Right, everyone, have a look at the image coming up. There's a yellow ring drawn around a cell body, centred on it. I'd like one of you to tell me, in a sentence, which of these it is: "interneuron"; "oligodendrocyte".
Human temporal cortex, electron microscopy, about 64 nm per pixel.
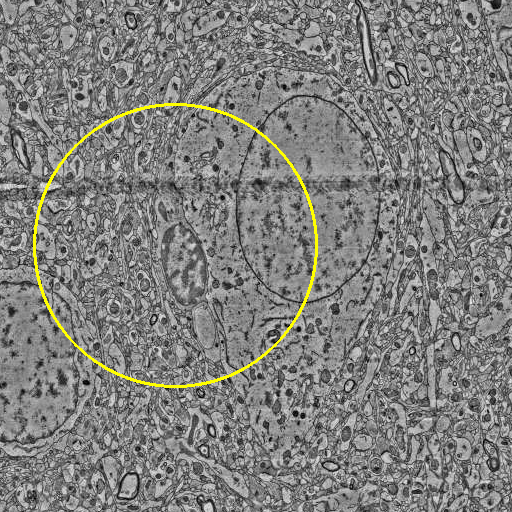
The yellow ring sits on an oligodendrocyte.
